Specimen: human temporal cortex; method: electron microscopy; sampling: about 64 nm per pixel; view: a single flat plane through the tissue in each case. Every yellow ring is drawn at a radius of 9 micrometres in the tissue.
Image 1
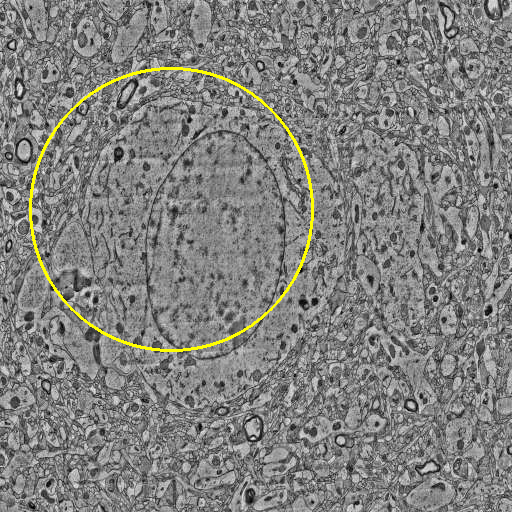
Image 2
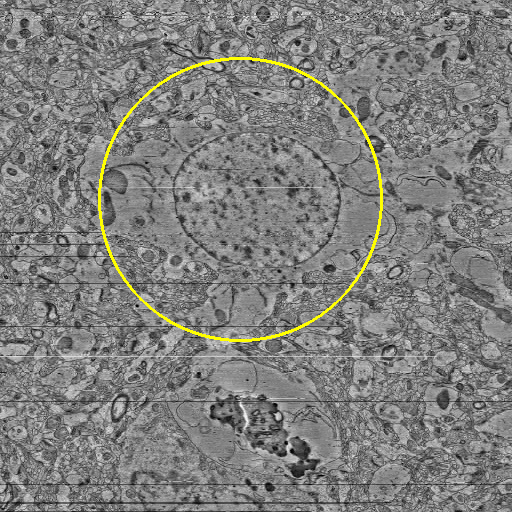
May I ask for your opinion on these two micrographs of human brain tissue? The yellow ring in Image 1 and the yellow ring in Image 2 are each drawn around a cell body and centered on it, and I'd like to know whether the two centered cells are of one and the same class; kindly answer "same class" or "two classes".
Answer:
two classes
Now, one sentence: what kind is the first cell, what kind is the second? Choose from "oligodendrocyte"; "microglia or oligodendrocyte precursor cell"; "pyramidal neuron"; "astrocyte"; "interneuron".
The first picture has a pyramidal neuron at its ring centre, and the second has an astrocyte.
